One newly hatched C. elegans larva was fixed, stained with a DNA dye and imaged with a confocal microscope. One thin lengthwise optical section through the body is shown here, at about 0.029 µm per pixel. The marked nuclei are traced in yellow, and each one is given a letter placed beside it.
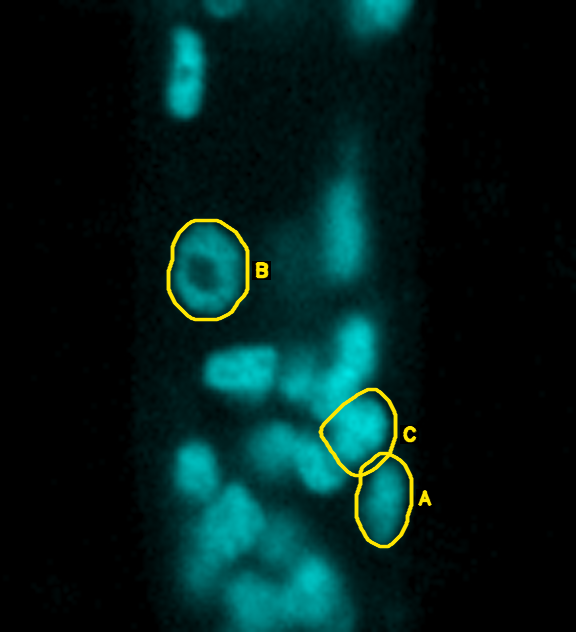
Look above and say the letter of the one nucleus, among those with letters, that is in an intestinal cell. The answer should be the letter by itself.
B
